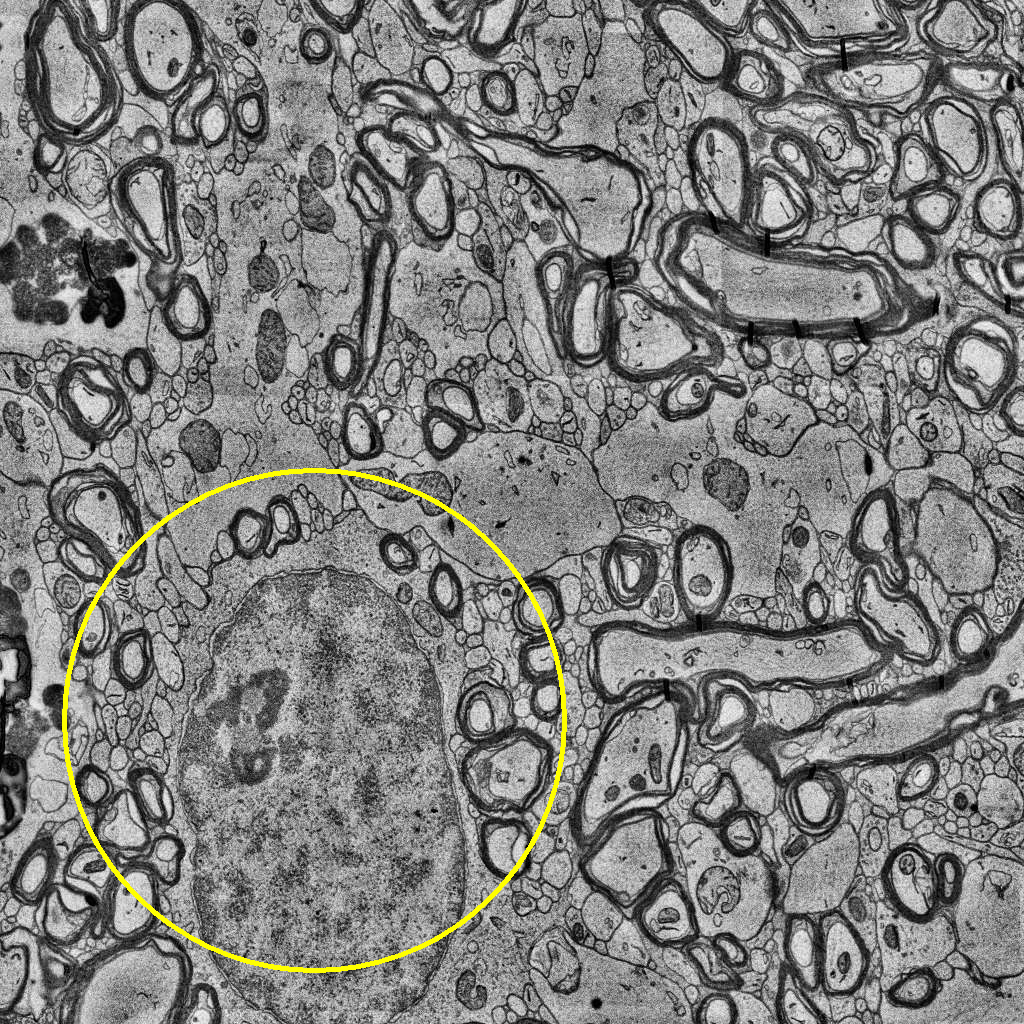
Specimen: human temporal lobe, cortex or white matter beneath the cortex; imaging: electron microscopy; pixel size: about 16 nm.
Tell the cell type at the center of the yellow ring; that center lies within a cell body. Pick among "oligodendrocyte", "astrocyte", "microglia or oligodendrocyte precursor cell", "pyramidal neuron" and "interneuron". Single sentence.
The ring's center lies in the body of an oligodendrocyte.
